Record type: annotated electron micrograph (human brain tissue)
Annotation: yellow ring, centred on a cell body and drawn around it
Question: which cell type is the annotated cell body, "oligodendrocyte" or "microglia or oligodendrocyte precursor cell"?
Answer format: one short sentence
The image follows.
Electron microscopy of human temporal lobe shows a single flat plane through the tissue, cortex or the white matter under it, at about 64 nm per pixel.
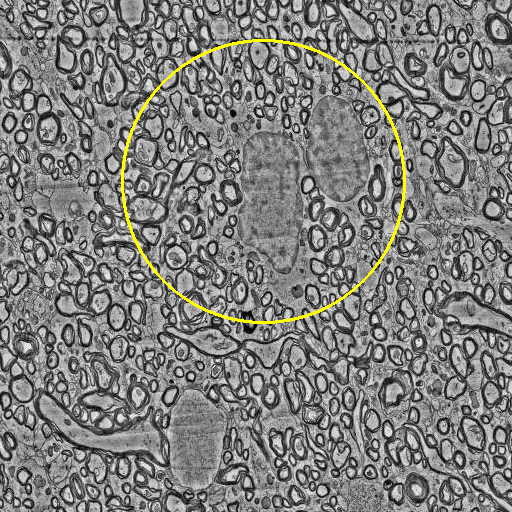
The annotated cell body is that of an oligodendrocyte.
